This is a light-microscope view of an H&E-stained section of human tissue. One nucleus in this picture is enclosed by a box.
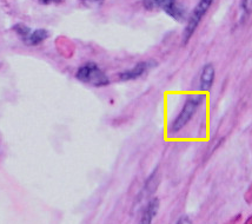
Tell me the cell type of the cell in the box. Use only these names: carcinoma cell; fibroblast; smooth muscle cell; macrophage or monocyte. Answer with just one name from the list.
fibroblast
